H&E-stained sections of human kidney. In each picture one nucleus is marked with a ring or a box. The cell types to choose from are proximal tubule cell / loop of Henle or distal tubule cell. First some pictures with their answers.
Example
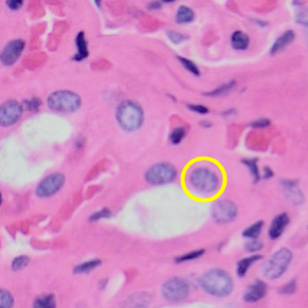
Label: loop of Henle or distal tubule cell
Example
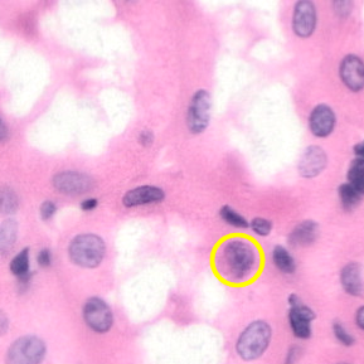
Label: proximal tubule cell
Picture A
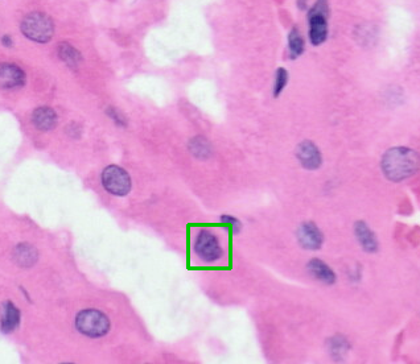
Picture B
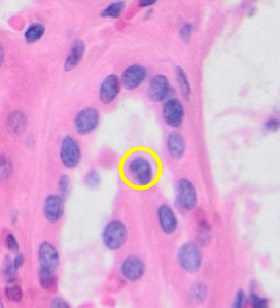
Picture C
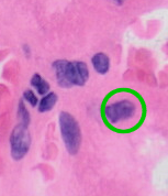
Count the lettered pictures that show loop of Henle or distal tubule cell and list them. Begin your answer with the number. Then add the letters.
1: B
